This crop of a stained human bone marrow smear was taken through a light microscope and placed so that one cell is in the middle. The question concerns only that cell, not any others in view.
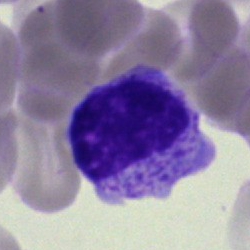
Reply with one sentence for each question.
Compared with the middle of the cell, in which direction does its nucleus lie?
The nucleus lies toward the upper left of the cell.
